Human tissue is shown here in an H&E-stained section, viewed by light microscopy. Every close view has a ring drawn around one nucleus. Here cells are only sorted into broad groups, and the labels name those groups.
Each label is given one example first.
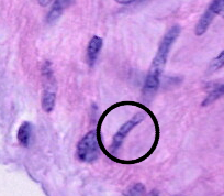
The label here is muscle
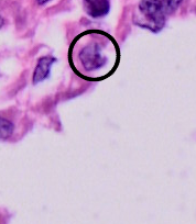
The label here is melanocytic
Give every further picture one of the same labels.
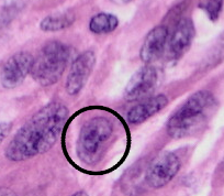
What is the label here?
melanocytic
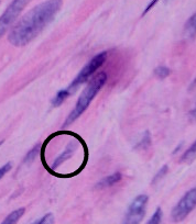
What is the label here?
muscle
